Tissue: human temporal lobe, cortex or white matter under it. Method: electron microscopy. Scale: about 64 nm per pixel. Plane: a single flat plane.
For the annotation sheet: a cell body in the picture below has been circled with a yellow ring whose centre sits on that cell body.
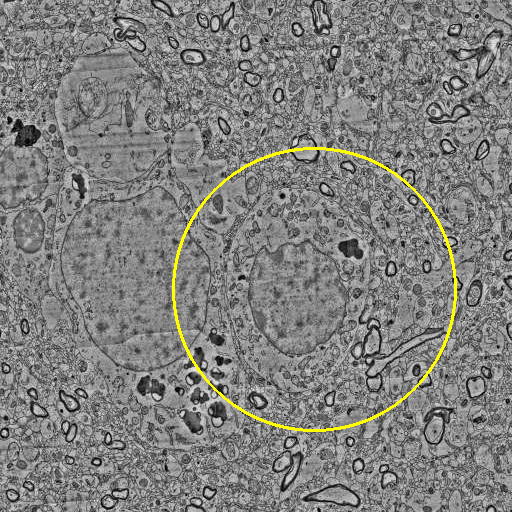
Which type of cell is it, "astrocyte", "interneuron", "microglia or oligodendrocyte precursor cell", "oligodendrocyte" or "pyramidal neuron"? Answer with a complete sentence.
The circled cell is an interneuron.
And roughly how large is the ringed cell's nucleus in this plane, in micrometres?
About 7 micrometers across, in this plane.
